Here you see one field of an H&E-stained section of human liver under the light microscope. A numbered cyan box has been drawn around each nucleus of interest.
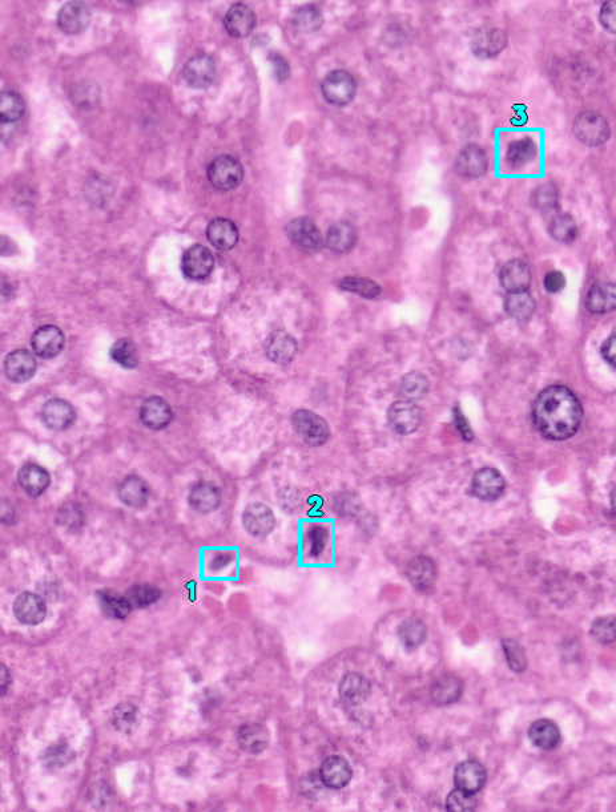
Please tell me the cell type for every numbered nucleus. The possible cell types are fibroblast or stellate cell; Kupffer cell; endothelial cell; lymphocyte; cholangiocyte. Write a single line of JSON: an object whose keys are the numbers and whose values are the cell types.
{"1": "lymphocyte", "2": "fibroblast or stellate cell", "3": "endothelial cell"}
